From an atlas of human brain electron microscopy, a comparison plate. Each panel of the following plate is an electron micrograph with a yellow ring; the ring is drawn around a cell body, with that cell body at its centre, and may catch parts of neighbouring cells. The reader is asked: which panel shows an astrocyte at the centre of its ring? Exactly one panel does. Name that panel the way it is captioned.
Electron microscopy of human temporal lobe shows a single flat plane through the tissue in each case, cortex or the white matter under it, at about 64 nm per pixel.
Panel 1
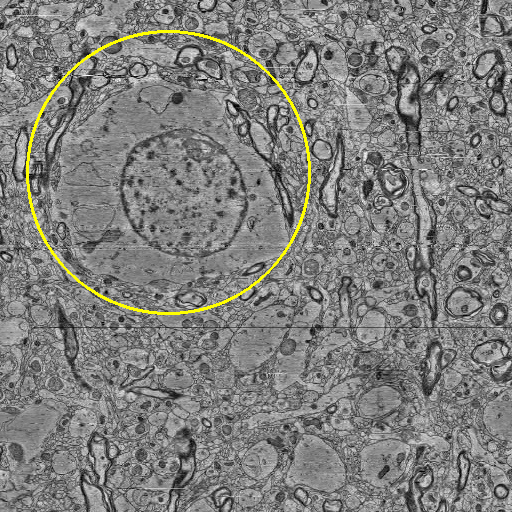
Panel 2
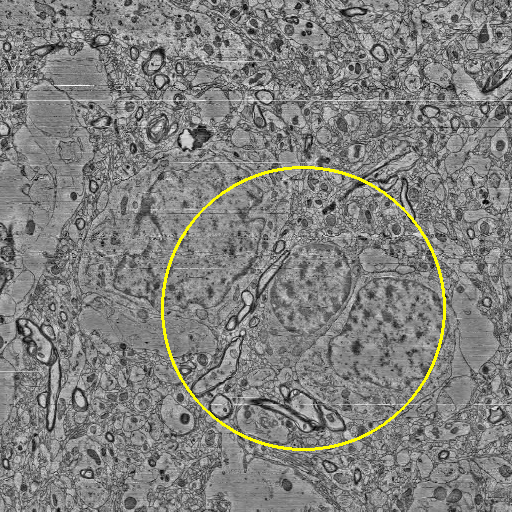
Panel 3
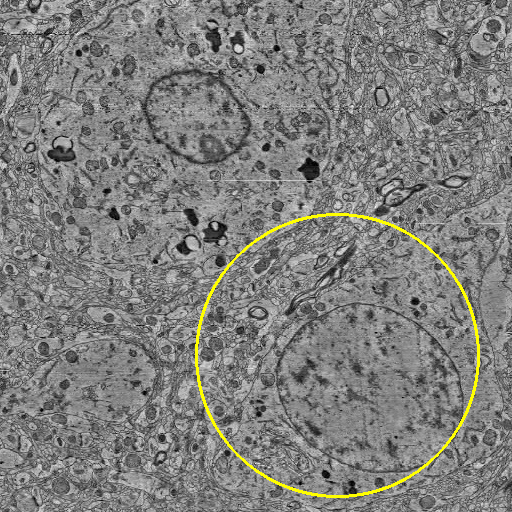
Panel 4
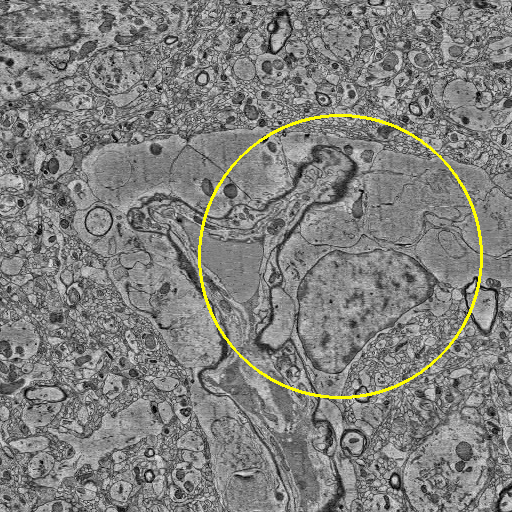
Panel 1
